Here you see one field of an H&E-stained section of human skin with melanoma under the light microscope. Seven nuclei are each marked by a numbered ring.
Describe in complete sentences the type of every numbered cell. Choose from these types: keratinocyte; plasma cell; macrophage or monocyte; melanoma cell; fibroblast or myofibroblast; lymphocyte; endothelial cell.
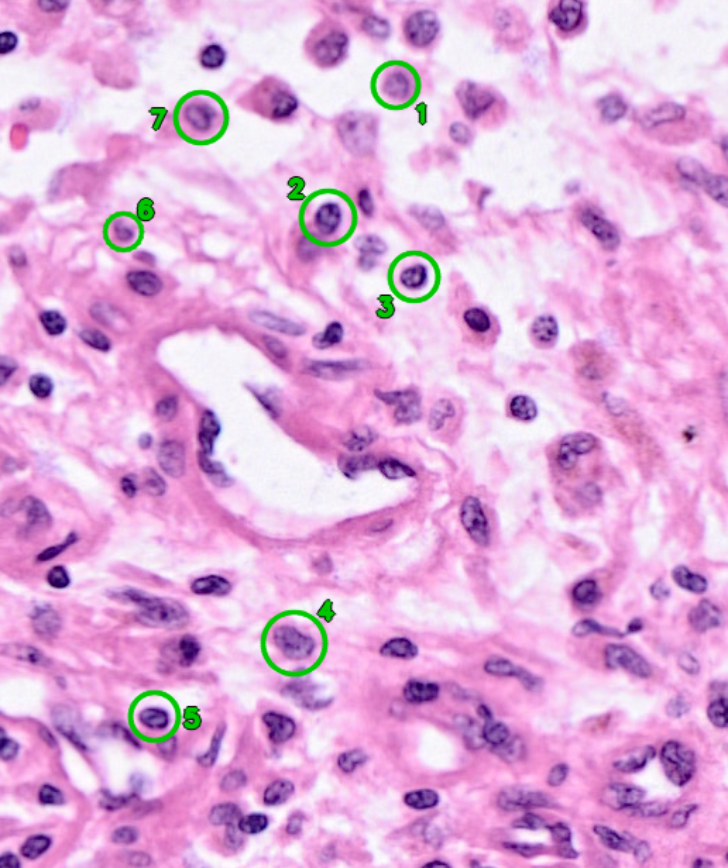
Cells 1, 4, 6 and 7 are macrophages or monocytes. Cells 2, 3 and 5 are lymphocytes.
